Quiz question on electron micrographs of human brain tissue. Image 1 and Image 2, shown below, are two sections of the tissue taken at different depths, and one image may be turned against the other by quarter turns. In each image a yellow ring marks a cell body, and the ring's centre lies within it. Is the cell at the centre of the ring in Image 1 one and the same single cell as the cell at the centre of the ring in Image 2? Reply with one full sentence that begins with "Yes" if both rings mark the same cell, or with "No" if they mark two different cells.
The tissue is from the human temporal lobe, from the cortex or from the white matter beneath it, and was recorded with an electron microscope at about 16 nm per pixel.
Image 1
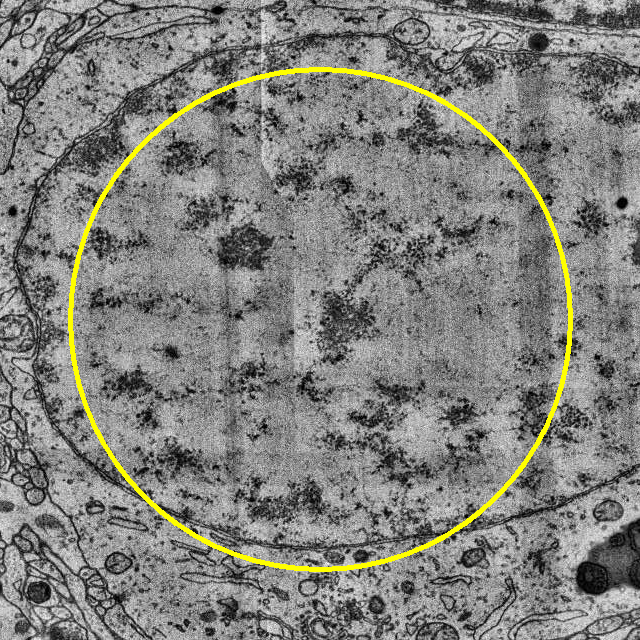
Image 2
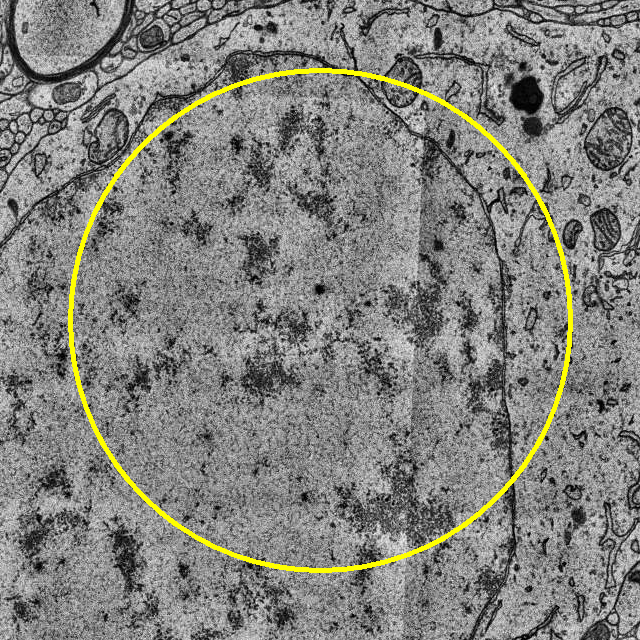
No, the two yellow rings correspond to two separate cells.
